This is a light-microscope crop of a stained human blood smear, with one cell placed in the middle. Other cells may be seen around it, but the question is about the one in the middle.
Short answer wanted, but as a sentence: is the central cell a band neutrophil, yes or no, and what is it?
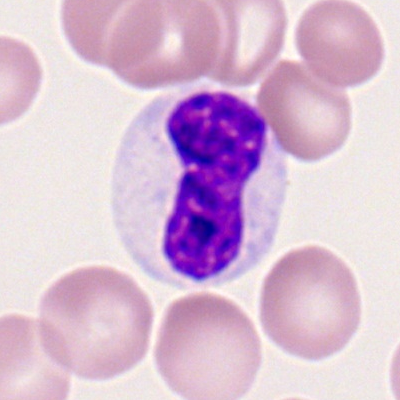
Yes, the cell that lies centrally is a band neutrophil.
